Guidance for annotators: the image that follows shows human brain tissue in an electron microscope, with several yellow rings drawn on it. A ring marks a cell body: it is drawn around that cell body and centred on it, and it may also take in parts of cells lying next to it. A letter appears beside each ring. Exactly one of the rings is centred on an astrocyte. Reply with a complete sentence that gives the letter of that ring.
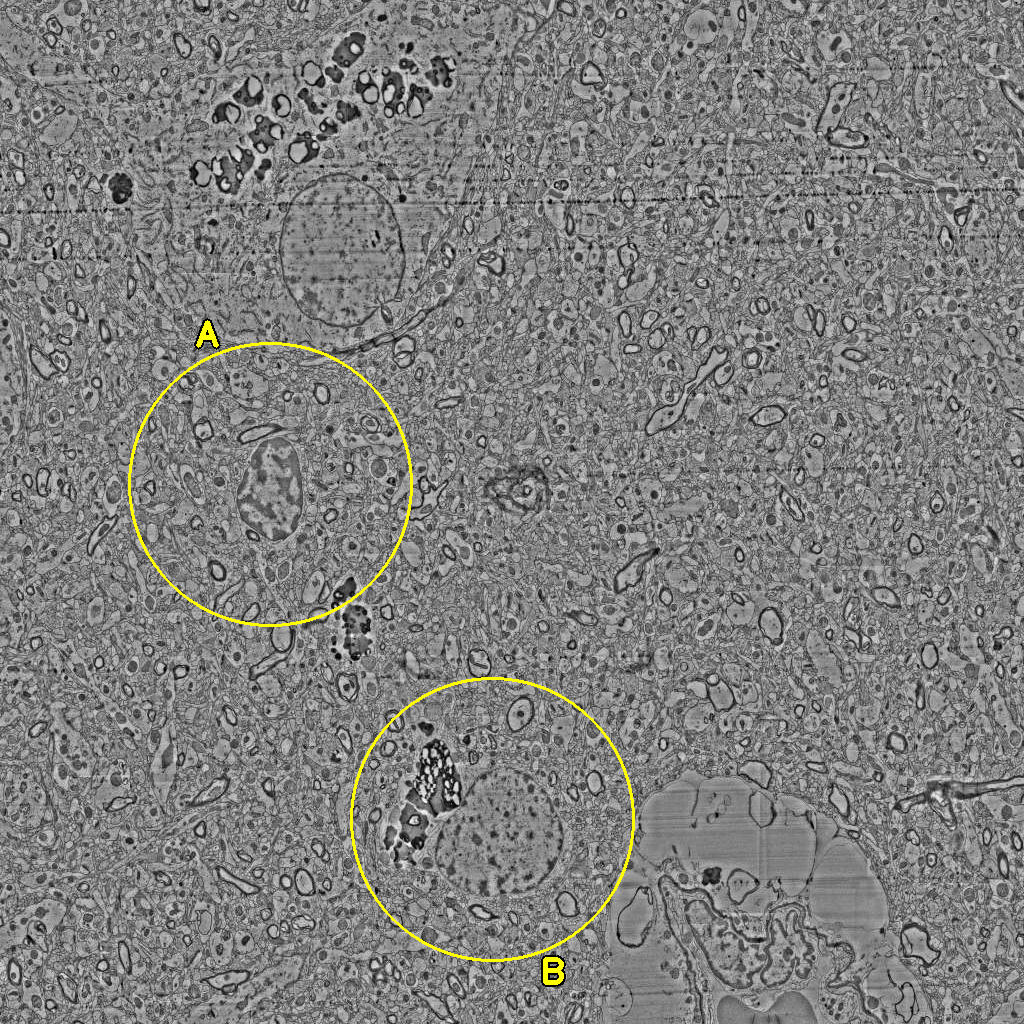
The ring lettered B is centred on that cell.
